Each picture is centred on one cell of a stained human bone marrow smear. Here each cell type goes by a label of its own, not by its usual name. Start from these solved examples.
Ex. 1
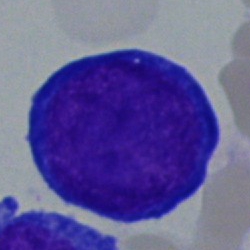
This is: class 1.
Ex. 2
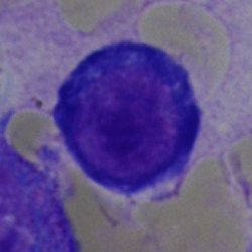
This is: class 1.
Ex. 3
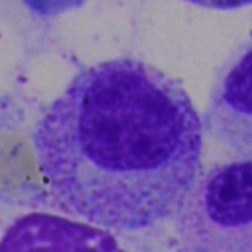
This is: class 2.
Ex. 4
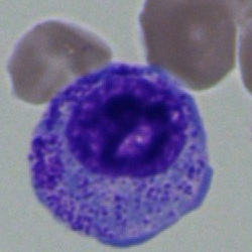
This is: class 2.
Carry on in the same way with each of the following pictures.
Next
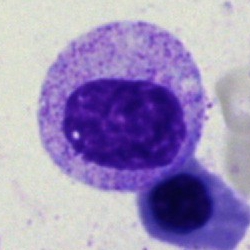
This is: class 2.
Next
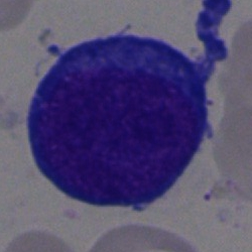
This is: class 1.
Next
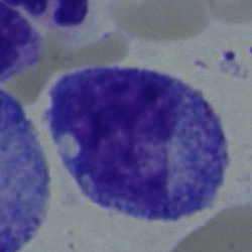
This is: class 2.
